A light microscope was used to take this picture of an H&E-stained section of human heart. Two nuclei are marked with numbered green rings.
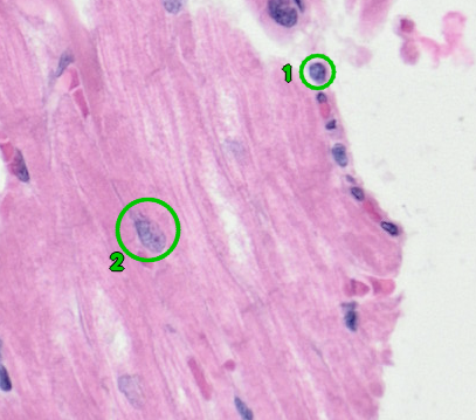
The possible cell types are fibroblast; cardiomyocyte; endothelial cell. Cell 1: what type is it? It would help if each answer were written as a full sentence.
The marked cell with the number 1 is recognised as a fibroblast.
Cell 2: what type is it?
In the tissue shown, cell 2 is a cardiomyocyte.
